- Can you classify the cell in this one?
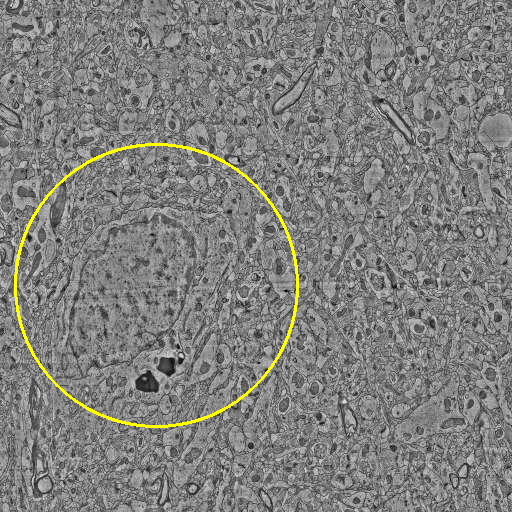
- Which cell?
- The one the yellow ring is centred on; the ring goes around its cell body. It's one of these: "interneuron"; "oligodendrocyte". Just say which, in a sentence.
The cell body in the ring belongs to an interneuron.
